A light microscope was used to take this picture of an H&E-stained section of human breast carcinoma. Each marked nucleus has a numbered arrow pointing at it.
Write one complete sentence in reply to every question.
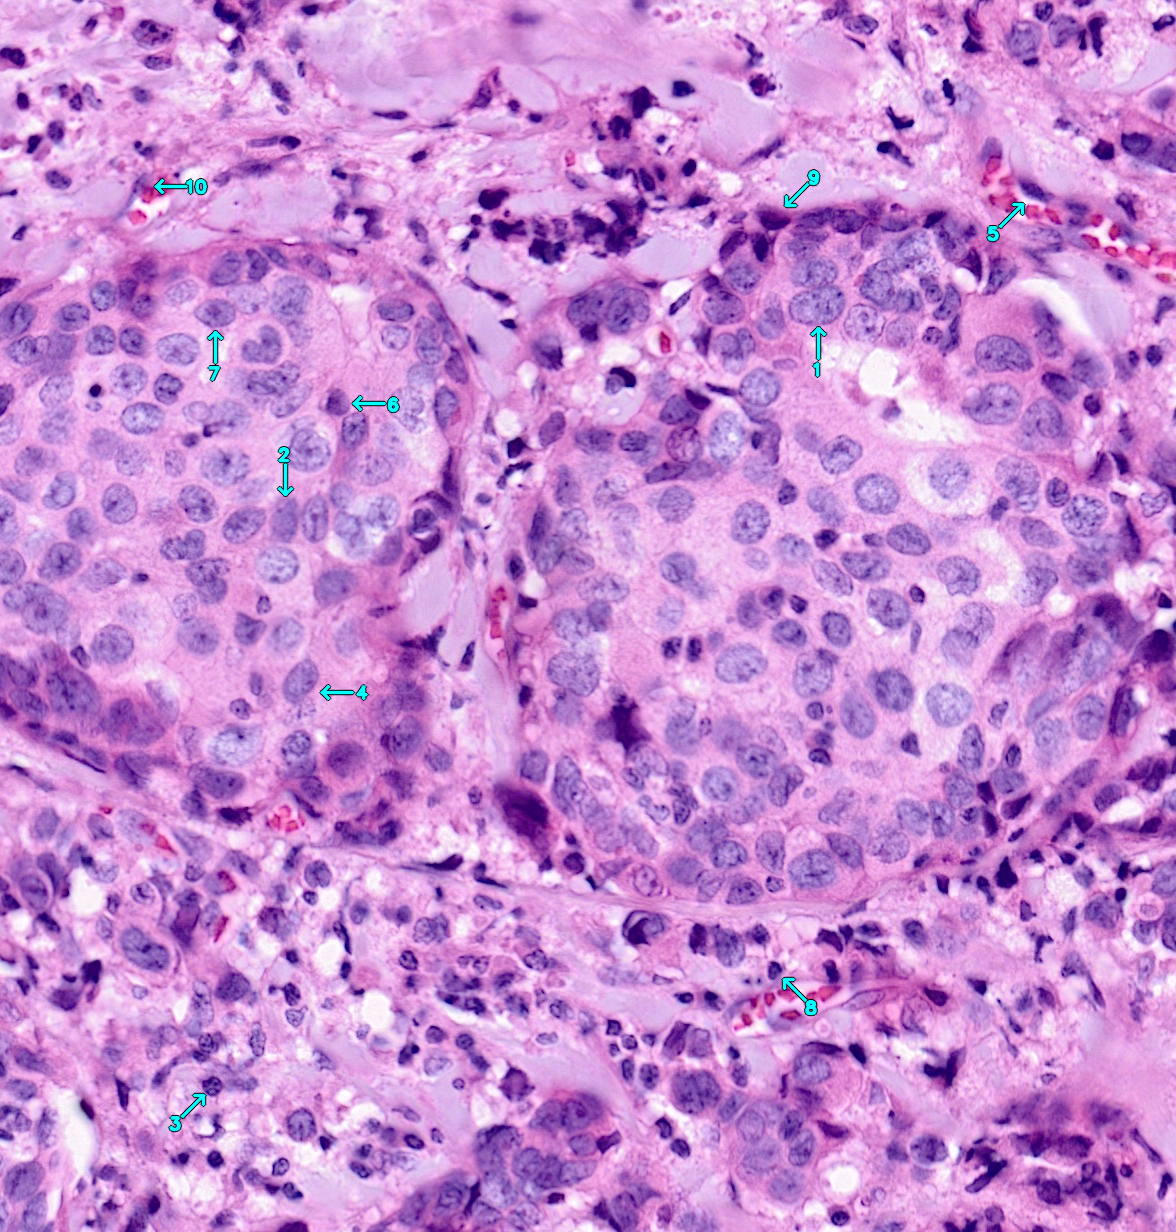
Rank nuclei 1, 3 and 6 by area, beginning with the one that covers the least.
From smallest to largest, the order is 3, 6, 1.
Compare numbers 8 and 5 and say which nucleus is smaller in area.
Nucleus 8 is the smaller one; nucleus 5 covers about 2 times its area.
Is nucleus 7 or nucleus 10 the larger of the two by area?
Number 7 is larger; its area is about 2 times that of number 10.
